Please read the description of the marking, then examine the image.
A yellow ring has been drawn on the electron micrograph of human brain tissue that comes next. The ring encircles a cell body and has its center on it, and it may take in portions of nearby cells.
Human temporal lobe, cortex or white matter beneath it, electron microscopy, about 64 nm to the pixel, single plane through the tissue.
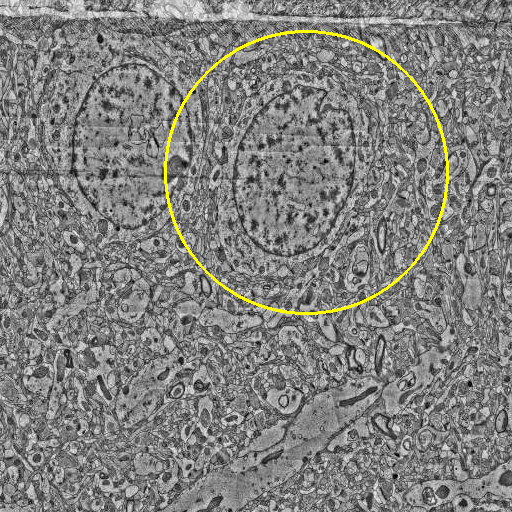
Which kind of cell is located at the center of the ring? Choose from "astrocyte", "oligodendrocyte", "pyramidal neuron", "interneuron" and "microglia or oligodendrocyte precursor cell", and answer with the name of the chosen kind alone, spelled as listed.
pyramidal neuron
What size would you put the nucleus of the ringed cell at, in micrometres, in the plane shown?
In this plane, roughly 11 by 8 micrometres.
